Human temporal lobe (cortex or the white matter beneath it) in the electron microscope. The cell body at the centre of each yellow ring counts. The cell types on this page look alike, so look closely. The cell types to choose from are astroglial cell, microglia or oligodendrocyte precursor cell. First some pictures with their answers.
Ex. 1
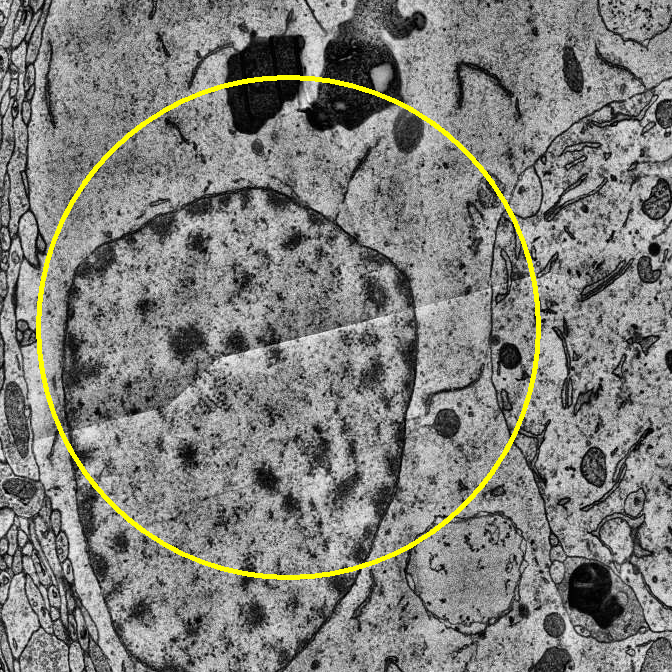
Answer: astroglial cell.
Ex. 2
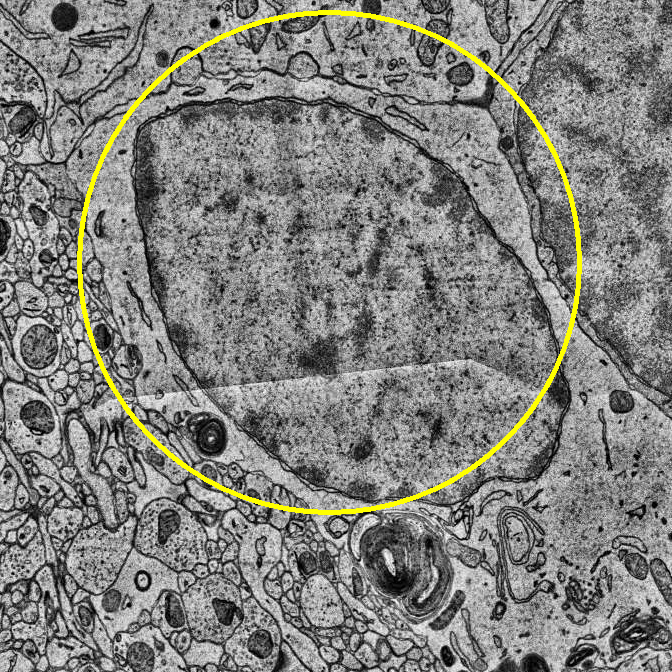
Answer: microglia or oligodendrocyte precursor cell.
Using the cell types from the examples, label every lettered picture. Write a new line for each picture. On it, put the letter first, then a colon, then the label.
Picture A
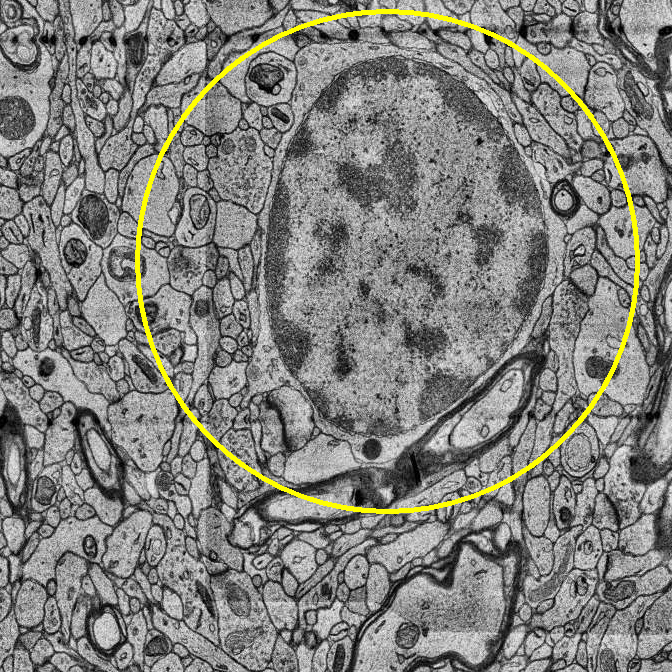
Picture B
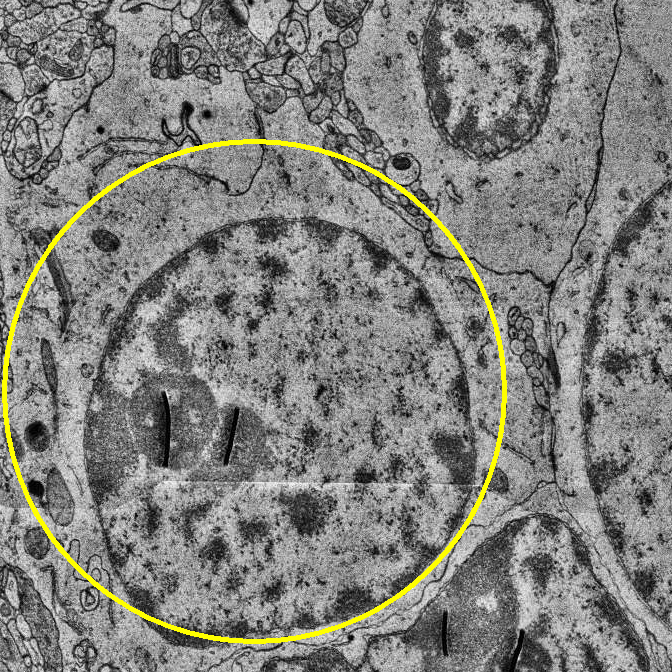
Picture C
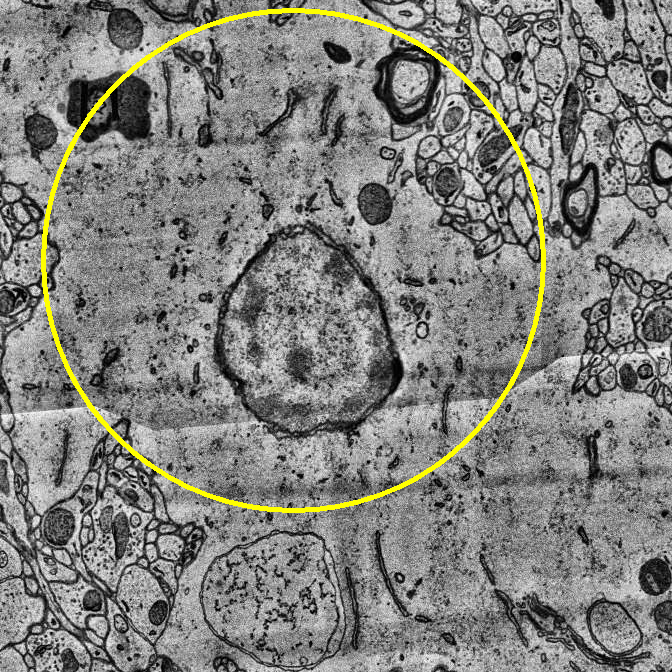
A: microglia or oligodendrocyte precursor cell.
B: astroglial cell.
C: astroglial cell.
